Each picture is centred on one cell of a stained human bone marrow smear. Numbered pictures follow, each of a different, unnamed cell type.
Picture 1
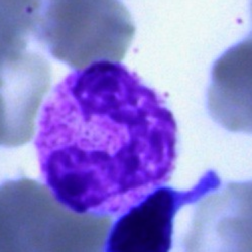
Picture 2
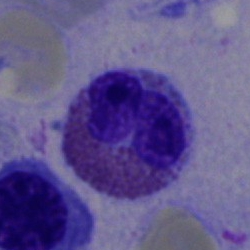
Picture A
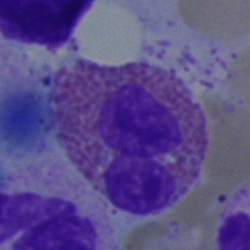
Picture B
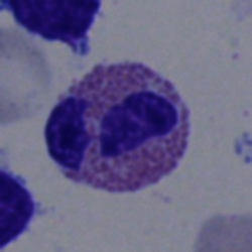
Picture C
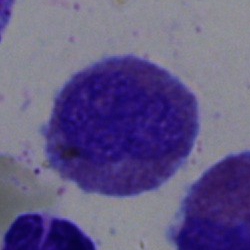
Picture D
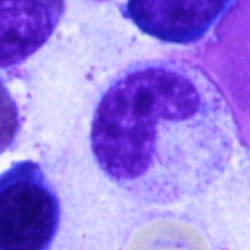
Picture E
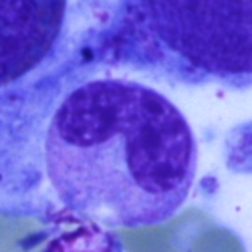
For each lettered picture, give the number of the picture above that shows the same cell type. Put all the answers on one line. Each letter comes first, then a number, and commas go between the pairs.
A 2, B 2, C 2, D 1, E 1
